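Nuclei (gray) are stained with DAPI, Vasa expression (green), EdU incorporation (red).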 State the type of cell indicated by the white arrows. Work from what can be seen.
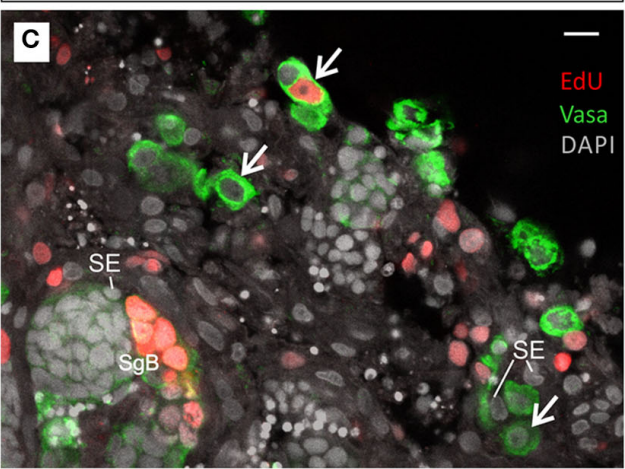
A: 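The arrowed cells are large and lie singly or in very small groups. Each has a large round nucleus surrounded by a green cytoplasmic rim. That points to this answer: Spermatogonia type A.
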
